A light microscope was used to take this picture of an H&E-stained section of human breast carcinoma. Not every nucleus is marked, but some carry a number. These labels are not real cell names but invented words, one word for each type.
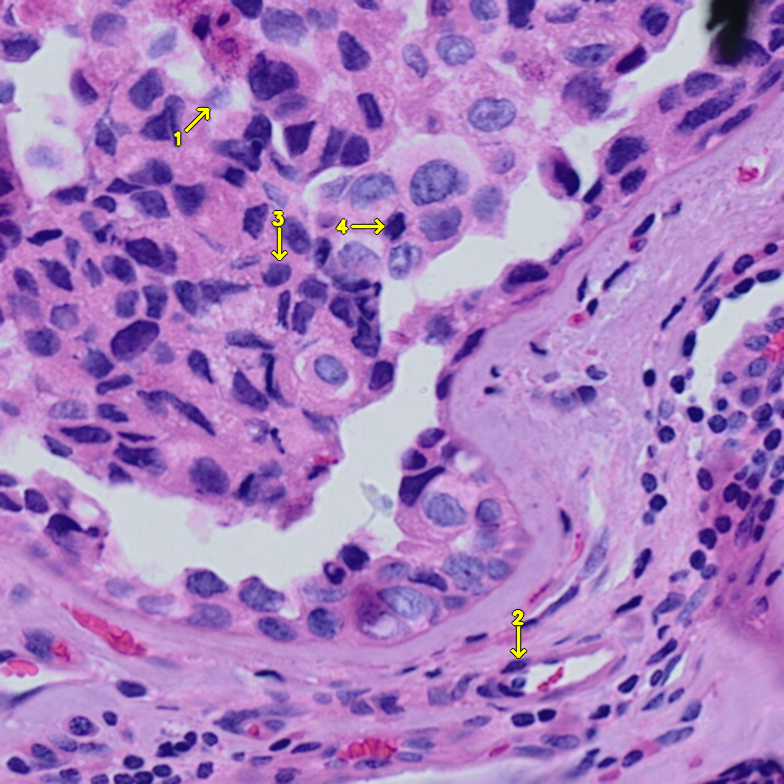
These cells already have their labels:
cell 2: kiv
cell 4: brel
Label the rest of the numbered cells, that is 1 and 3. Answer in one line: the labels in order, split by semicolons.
brel; brel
